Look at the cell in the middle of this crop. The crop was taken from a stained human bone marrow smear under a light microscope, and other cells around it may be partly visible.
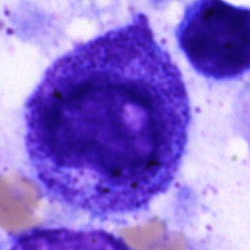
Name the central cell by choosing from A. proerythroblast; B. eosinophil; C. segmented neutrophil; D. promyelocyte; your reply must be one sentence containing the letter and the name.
The cell positioned centrally is a promyelocyte, as given in option D, which is correct.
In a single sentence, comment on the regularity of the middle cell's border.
Around its circumference, the cell has an uneven edge, ragged or projecting in places.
